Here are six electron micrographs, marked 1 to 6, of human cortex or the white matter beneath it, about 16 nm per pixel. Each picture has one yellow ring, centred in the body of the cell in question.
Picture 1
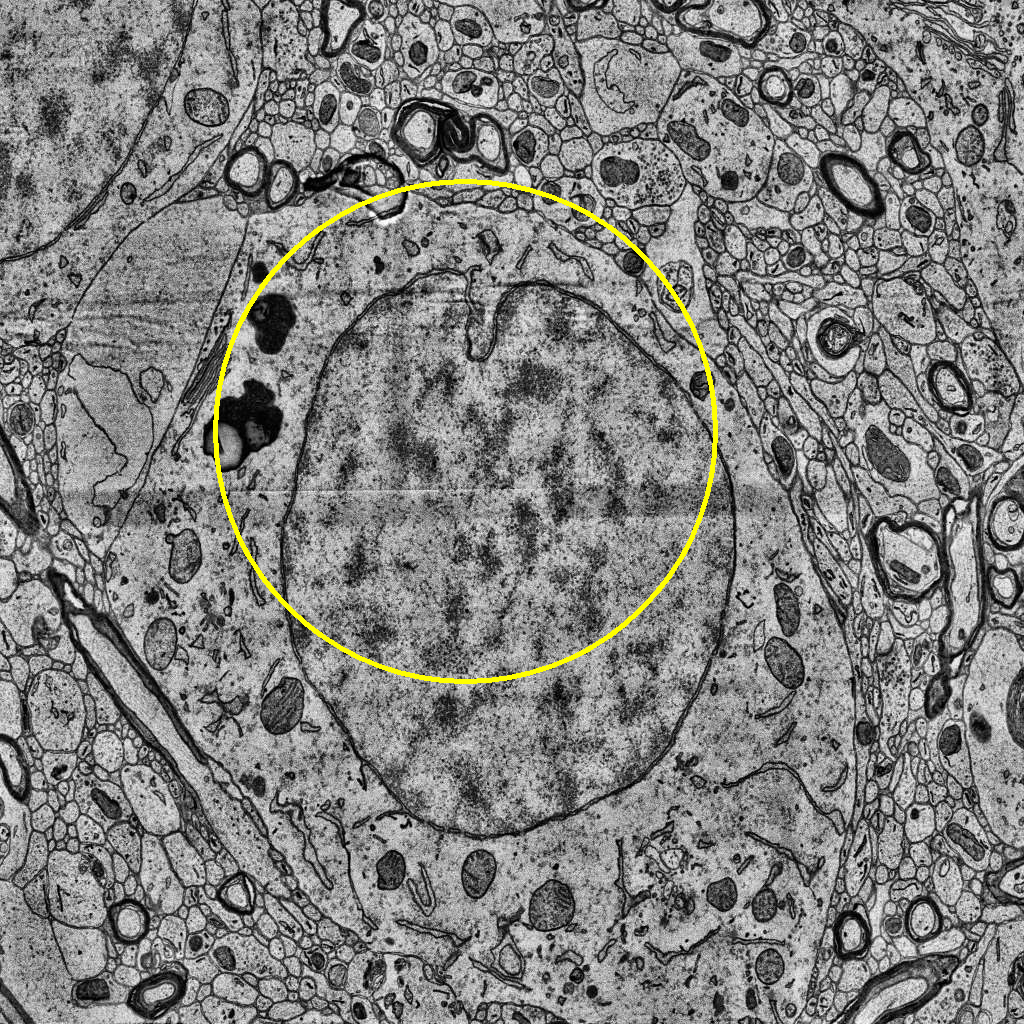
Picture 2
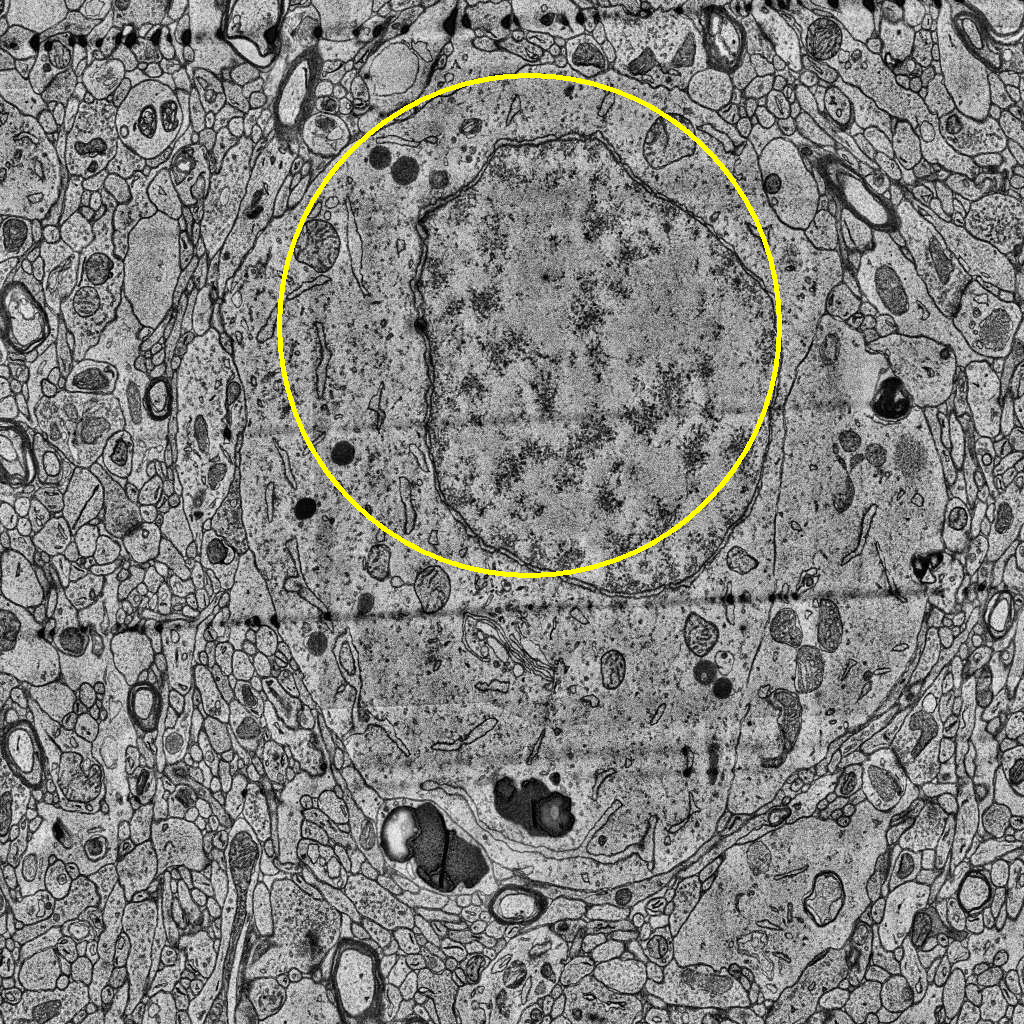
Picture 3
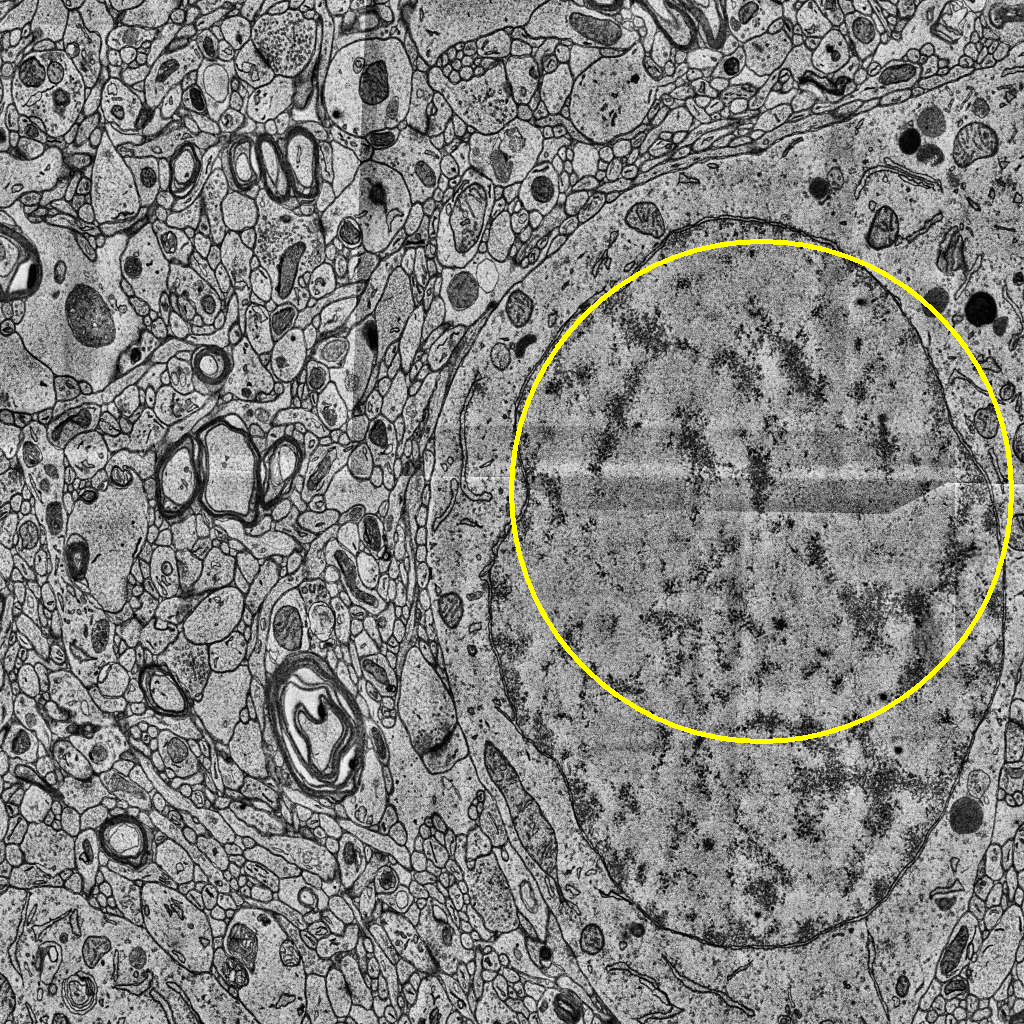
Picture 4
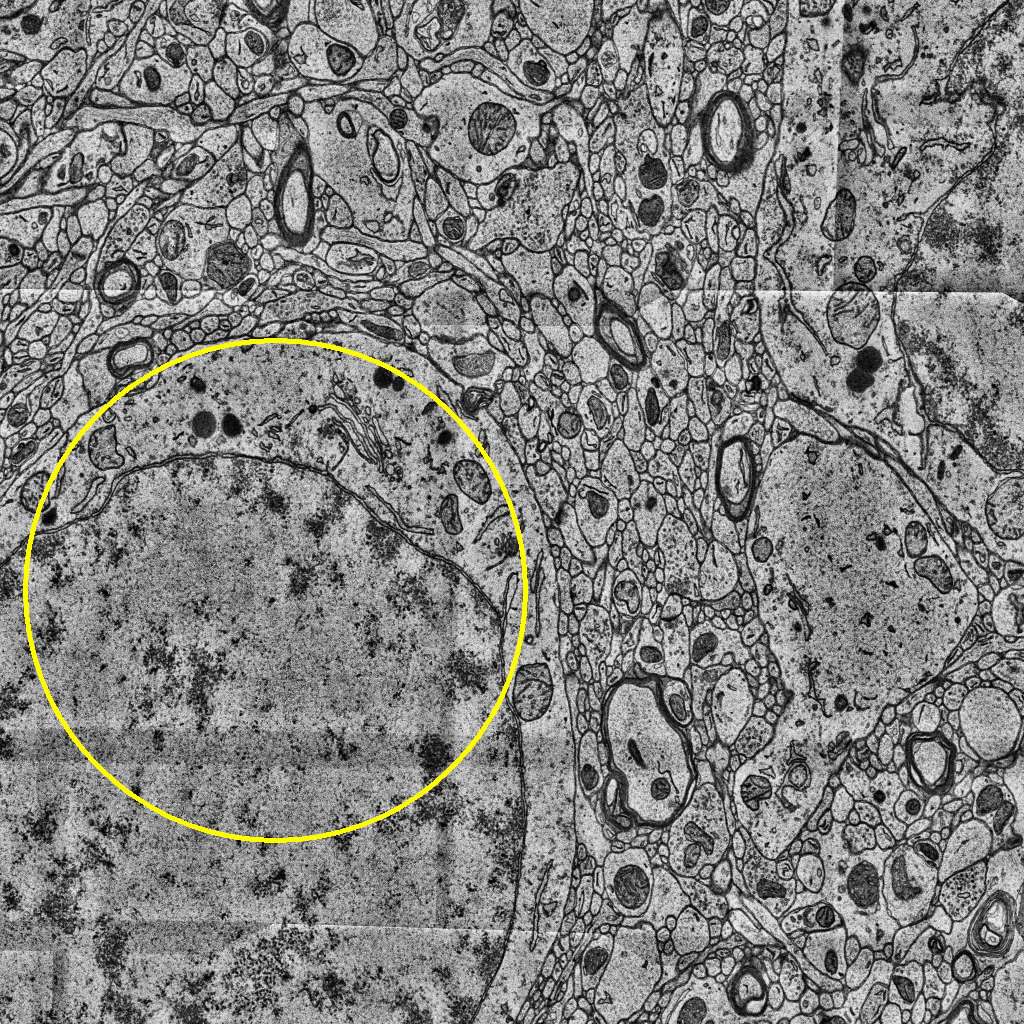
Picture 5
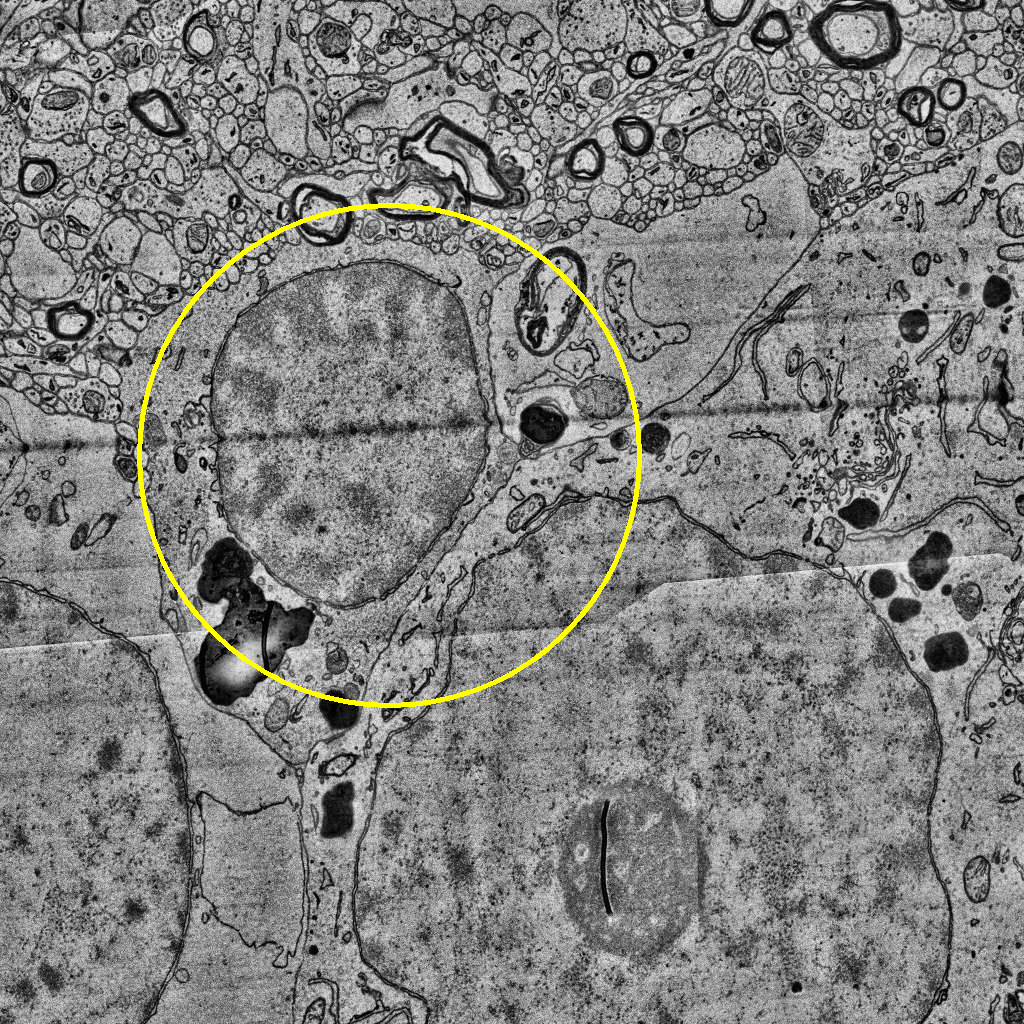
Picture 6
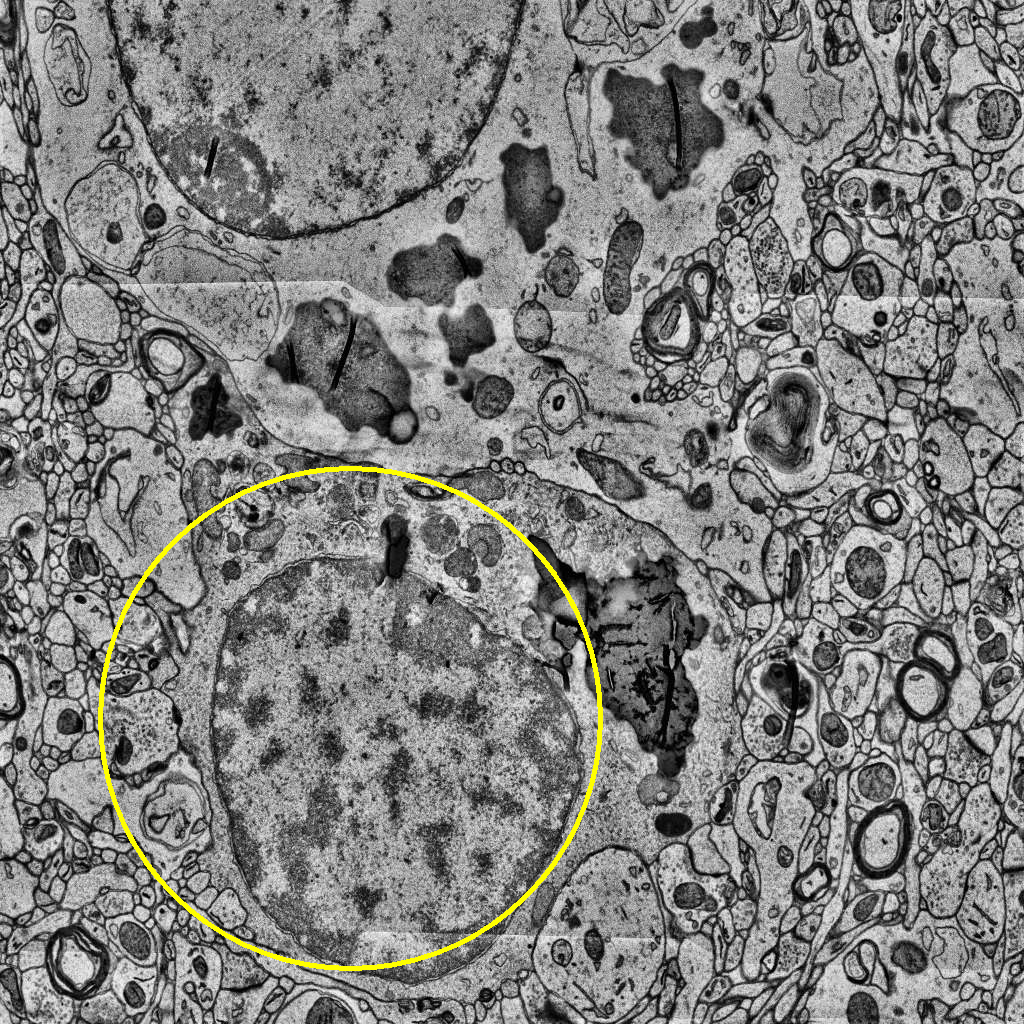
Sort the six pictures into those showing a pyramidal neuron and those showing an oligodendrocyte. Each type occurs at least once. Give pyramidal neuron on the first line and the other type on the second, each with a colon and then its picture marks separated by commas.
pyramidal neuron: 1, 2, 3, 4
oligodendrocyte: 5, 6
